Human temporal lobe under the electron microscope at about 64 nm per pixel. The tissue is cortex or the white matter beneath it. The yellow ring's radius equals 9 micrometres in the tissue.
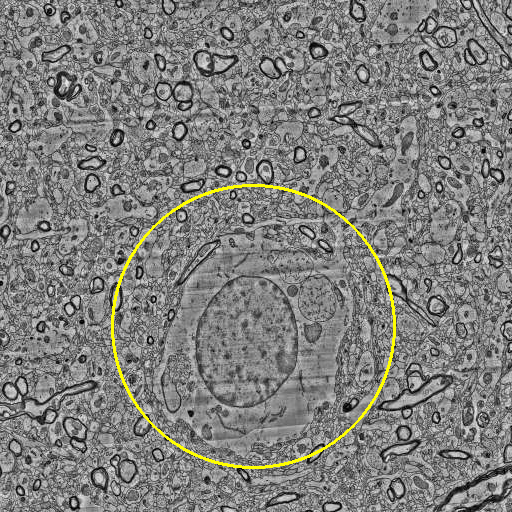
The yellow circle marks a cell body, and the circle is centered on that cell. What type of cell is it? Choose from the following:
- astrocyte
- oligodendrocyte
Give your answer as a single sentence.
This cell body belongs to an astrocyte.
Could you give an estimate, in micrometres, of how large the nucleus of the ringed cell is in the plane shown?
Roughly 9 by 7 micrometres is the size of the nucleus in this plane.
